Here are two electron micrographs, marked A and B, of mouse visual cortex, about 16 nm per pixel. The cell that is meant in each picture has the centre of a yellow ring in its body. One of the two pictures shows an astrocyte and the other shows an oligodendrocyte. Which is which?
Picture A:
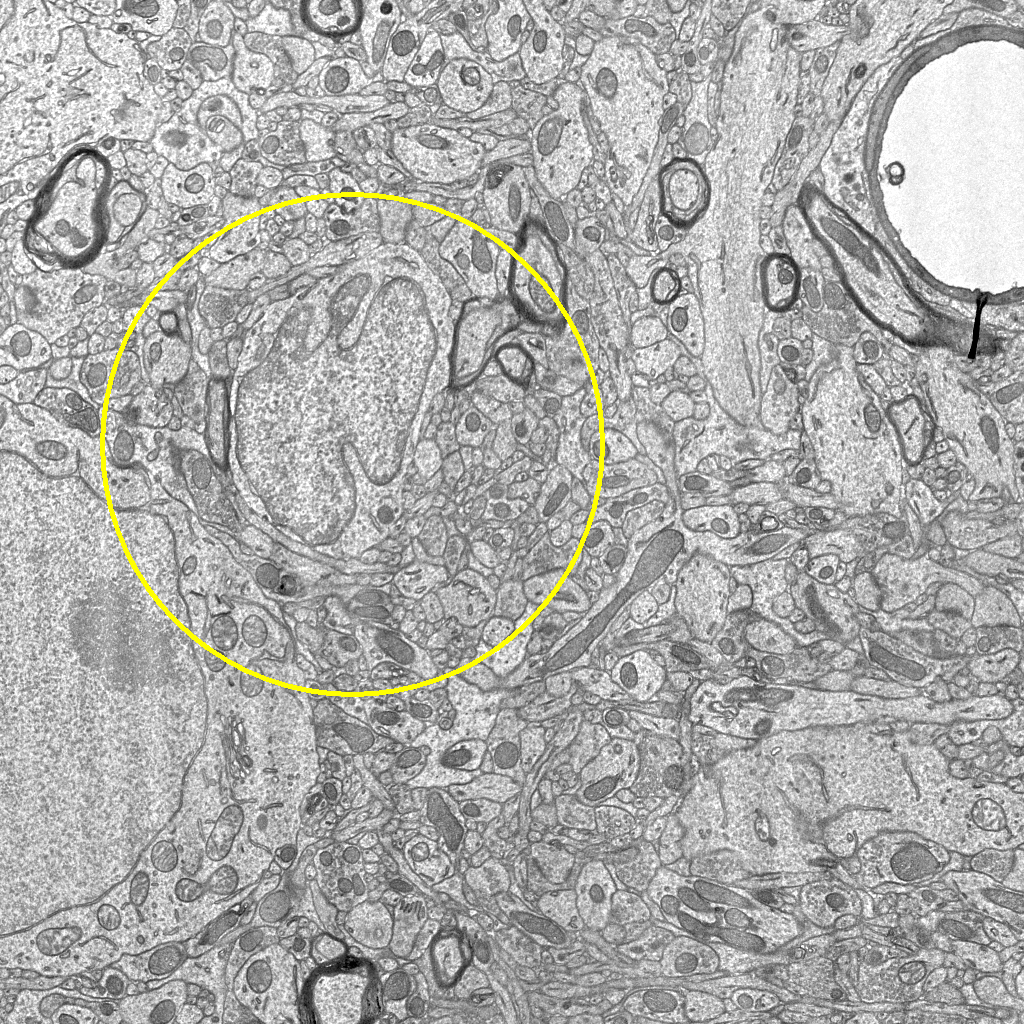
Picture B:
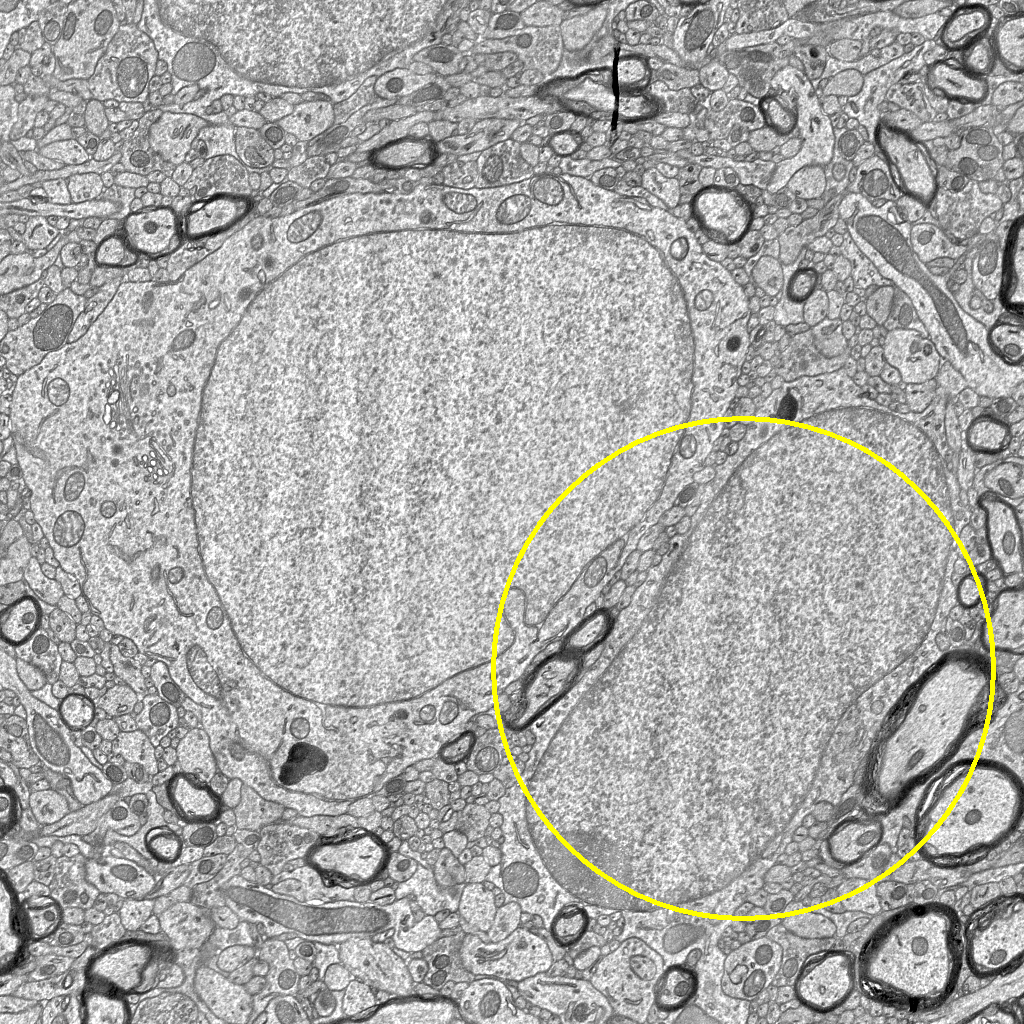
Picture B shows an astrocyte, while picture A shows an oligodendrocyte.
